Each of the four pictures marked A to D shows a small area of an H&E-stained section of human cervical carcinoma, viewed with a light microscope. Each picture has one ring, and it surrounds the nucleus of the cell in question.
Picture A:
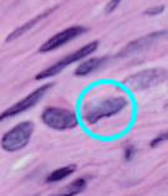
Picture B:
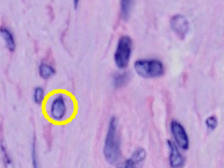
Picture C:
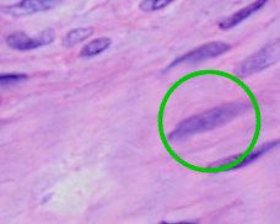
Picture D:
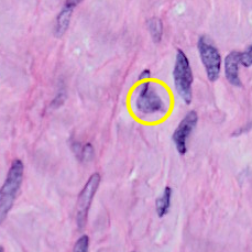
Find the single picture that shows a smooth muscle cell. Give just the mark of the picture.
B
